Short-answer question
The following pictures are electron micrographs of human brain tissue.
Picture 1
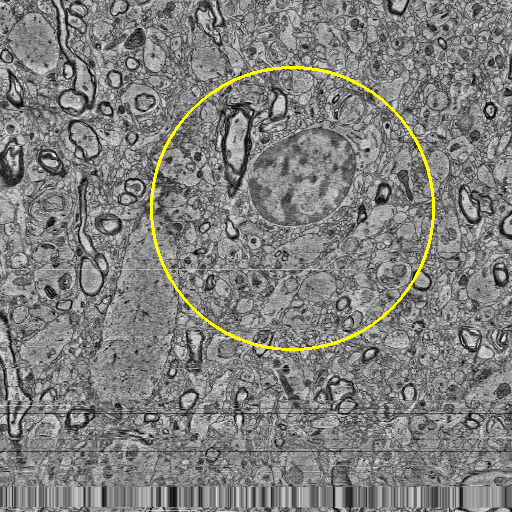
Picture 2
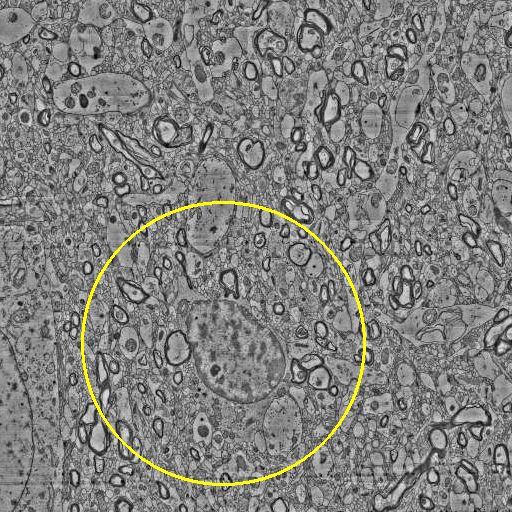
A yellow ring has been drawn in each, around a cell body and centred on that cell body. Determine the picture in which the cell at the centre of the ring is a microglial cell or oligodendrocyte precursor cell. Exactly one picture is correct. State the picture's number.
1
